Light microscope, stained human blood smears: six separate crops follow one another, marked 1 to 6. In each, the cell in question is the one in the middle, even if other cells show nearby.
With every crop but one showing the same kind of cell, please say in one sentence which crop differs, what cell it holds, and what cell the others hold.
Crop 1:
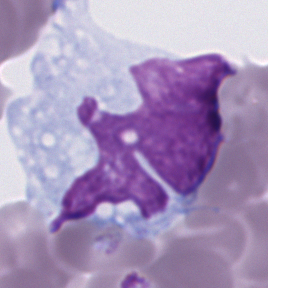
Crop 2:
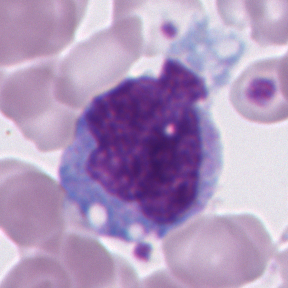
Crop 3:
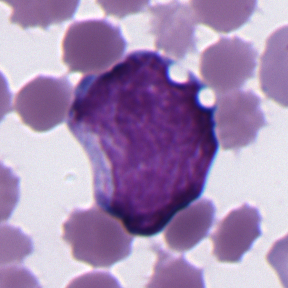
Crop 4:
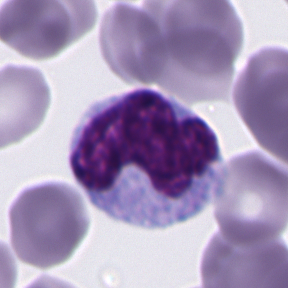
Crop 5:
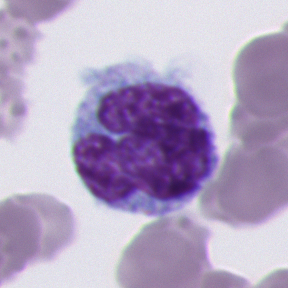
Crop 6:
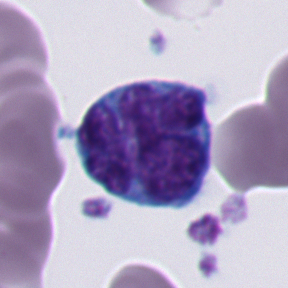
Where the others show monocytes, crop 3 shows a myeloblast.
